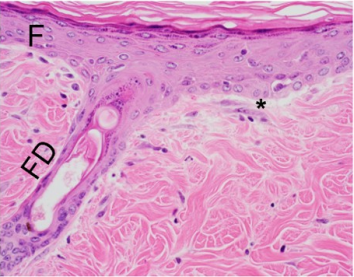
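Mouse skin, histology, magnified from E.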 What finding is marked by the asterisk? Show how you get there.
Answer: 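A small pale cleft lies between the basal epidermal layer and the dermis at the asterisk.
Dermal-epidermal separation.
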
